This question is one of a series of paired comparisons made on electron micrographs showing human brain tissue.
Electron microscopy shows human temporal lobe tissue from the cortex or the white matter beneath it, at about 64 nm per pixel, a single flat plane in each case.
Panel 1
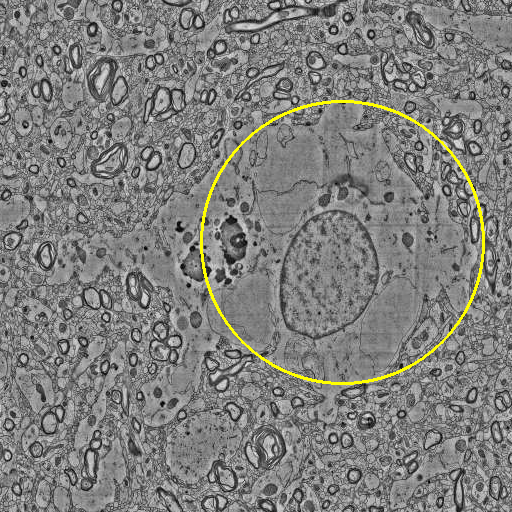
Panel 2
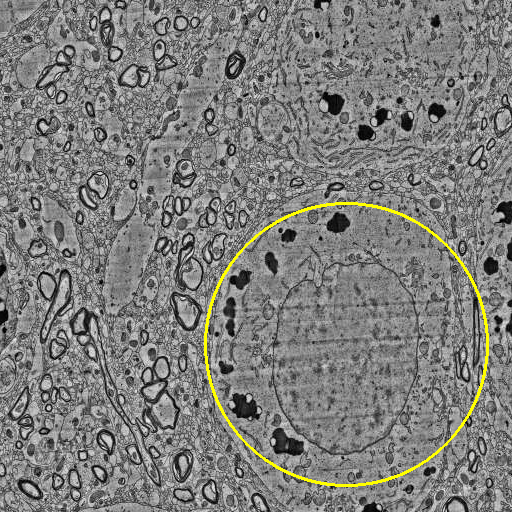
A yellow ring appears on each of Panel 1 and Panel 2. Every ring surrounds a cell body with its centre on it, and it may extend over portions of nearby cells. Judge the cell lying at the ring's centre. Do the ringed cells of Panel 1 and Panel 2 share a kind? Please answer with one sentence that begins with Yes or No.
No, the ring-centre cell in Panel 1 and the one in Panel 2 are of two kinds.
